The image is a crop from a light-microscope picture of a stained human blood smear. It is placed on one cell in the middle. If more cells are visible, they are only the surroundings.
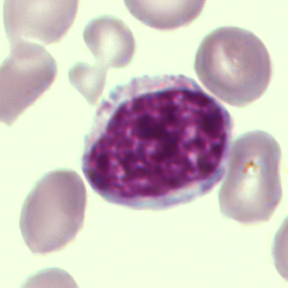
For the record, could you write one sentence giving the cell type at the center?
The cell centered in this field of view is a metamyelocyte.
